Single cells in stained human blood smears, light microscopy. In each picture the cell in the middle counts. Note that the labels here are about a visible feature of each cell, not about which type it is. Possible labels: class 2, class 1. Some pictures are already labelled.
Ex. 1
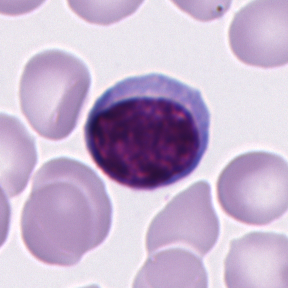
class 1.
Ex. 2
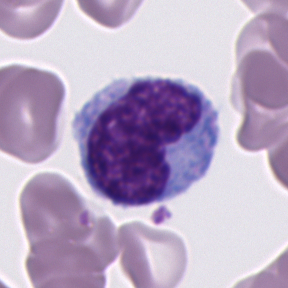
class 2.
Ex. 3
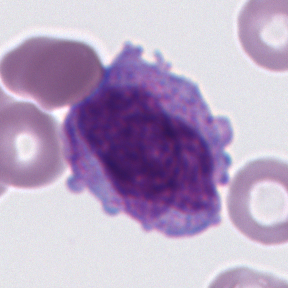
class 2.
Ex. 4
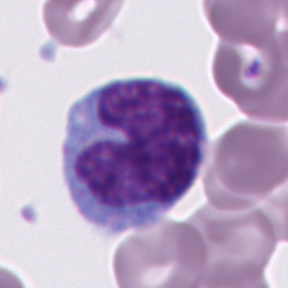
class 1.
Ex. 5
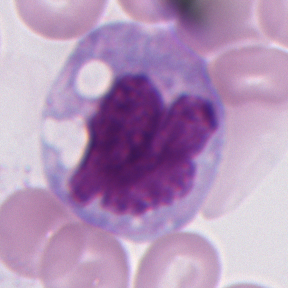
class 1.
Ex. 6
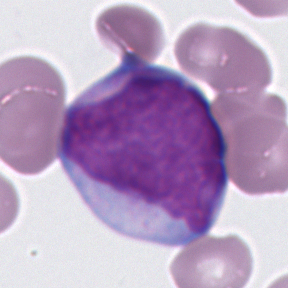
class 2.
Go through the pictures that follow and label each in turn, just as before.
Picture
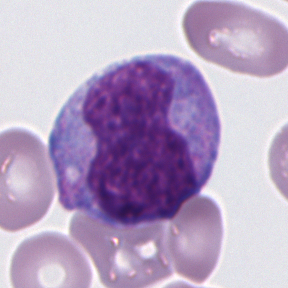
class 1.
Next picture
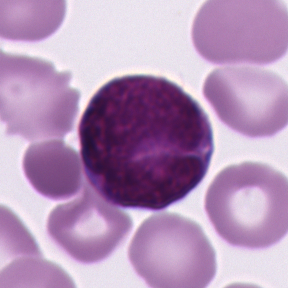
class 1.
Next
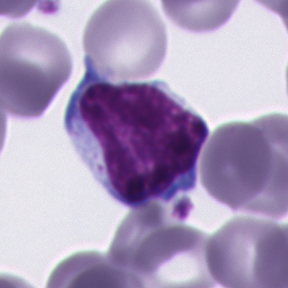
class 2.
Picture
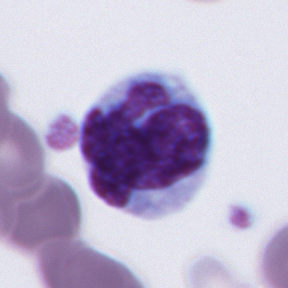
class 1.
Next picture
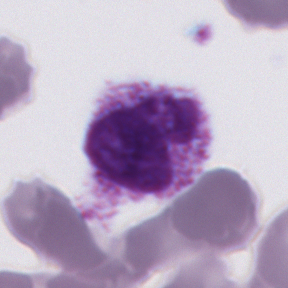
class 2.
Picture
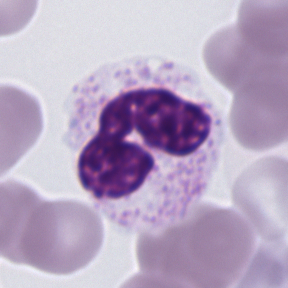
class 1.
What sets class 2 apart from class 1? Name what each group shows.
Seen in class 2: ragged outline or projections; seen in class 1: smooth outline.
